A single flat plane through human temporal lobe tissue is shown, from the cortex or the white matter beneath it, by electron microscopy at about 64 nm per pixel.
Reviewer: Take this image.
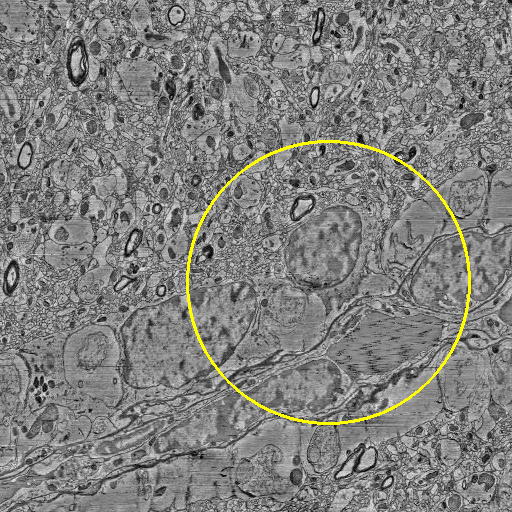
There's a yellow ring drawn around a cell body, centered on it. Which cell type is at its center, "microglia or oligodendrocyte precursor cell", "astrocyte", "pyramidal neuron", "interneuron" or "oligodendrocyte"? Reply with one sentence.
At the center of the yellow ring is an oligodendrocyte.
